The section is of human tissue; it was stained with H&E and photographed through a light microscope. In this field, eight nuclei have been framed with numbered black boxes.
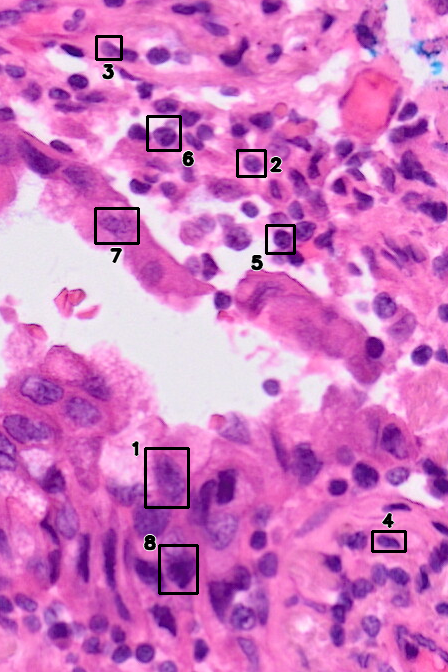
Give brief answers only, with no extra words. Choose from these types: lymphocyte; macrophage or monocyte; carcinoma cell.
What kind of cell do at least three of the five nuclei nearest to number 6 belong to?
lymphocyte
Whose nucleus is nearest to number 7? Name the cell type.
lymphocyte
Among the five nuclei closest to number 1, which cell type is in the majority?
carcinoma cell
